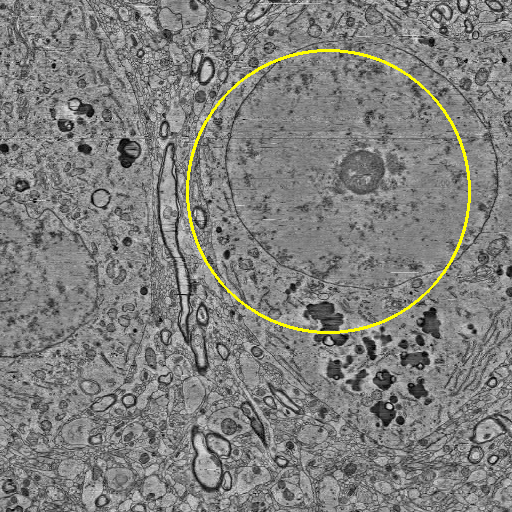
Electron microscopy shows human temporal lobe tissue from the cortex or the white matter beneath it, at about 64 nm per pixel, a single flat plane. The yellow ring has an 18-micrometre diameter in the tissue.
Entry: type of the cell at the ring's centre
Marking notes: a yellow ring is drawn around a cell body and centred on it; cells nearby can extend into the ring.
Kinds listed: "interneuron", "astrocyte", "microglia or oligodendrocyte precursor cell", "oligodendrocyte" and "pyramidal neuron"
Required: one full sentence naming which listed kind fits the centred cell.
My entry names a pyramidal neuron as the cell whose body the yellow ring centres on.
